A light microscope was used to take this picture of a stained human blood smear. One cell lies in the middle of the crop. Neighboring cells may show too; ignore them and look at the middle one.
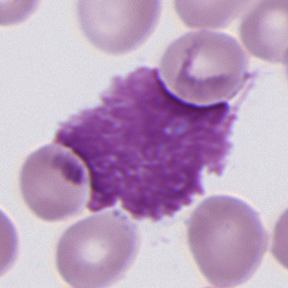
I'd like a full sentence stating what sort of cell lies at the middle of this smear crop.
In short, the cell at the center is a smudge cell.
